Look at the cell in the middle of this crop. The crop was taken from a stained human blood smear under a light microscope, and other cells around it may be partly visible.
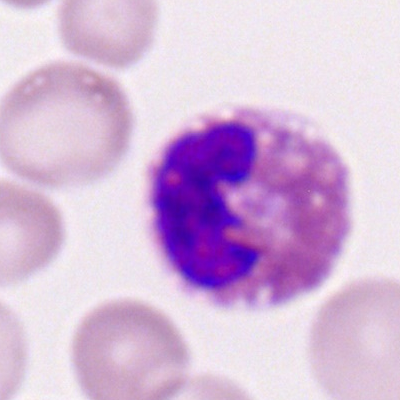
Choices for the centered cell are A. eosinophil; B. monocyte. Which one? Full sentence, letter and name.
With the cell in the middle being an eosinophil, option A is the correct choice.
